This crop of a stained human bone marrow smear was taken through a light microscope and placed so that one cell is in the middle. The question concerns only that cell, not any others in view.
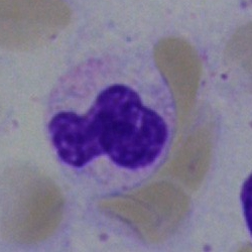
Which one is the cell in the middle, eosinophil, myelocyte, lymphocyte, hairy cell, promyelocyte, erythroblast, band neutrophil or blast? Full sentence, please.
The cell sitting right in the middle is a band neutrophil.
